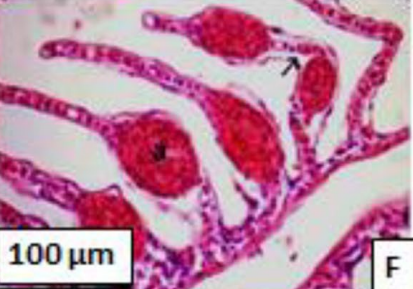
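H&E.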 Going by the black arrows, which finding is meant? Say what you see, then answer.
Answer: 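The sacs are packed with red-stained blood cells. The swollen sacs are far wider than the stalks of the plates.
Hence: Telangectasis.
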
